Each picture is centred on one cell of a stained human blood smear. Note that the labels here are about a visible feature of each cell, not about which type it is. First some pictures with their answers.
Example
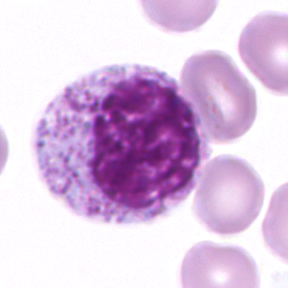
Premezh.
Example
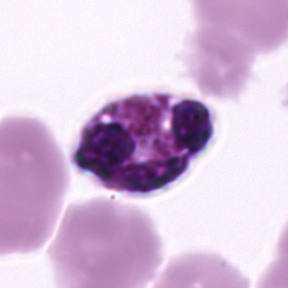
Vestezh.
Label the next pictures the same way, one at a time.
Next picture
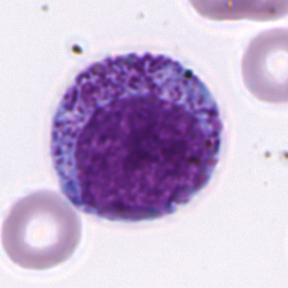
Premezh.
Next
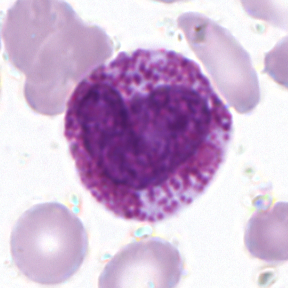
Premezh.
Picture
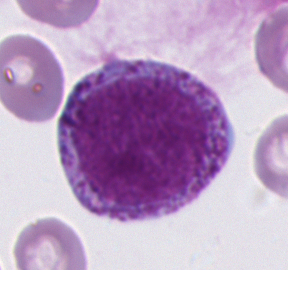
Premezh.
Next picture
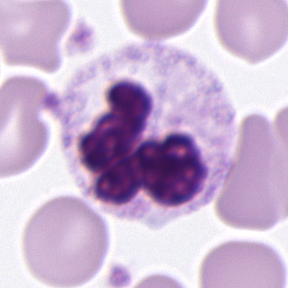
Vestezh.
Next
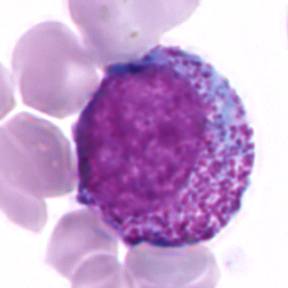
Premezh.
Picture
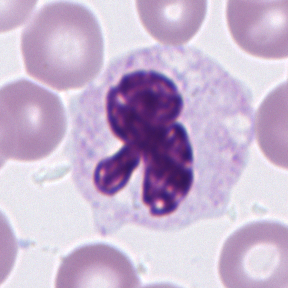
Vestezh.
